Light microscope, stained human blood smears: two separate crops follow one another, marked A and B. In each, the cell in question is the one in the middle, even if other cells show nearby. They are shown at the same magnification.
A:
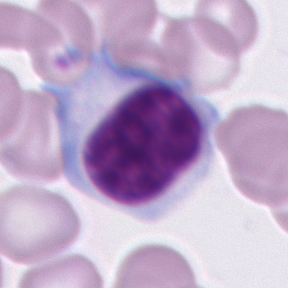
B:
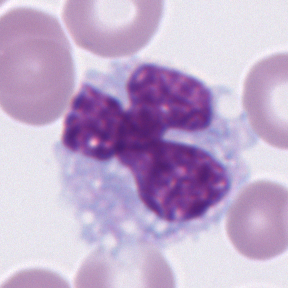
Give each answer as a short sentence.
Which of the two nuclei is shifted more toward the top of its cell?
In crop B the nucleus is shifted more toward the top.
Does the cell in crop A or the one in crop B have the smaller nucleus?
It is the nucleus in crop A; the one in crop B has about 1.5 times its area.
